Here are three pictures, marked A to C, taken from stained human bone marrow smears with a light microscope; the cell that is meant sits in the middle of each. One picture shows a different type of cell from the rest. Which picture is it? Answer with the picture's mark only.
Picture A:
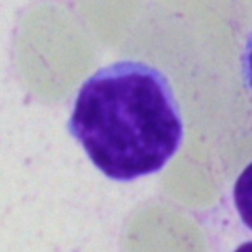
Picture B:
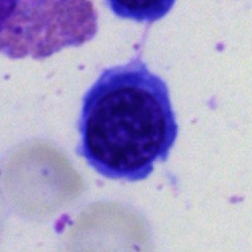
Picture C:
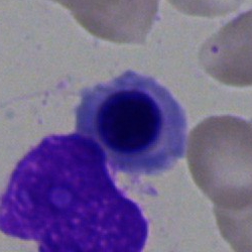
A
